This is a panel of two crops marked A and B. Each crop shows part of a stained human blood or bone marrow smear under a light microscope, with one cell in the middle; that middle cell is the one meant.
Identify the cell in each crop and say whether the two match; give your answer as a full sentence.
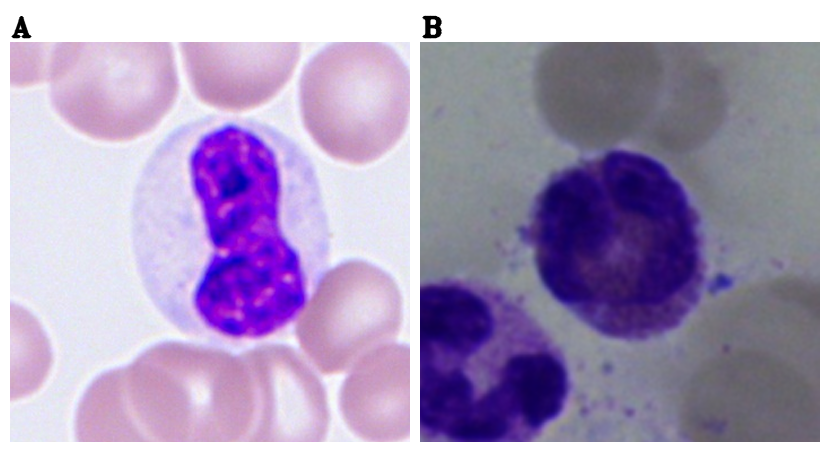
No, crop A corresponds to a band neutrophil, while crop B corresponds to an eosinophil.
